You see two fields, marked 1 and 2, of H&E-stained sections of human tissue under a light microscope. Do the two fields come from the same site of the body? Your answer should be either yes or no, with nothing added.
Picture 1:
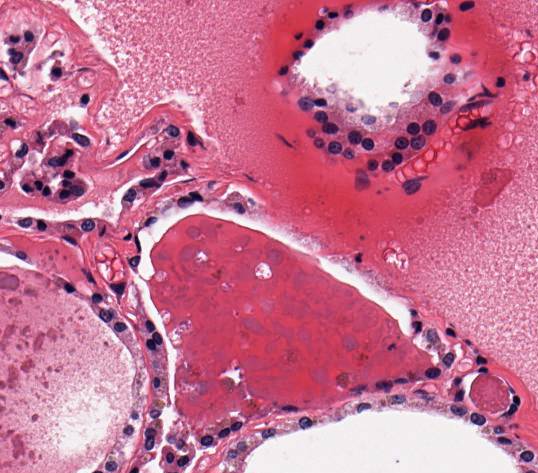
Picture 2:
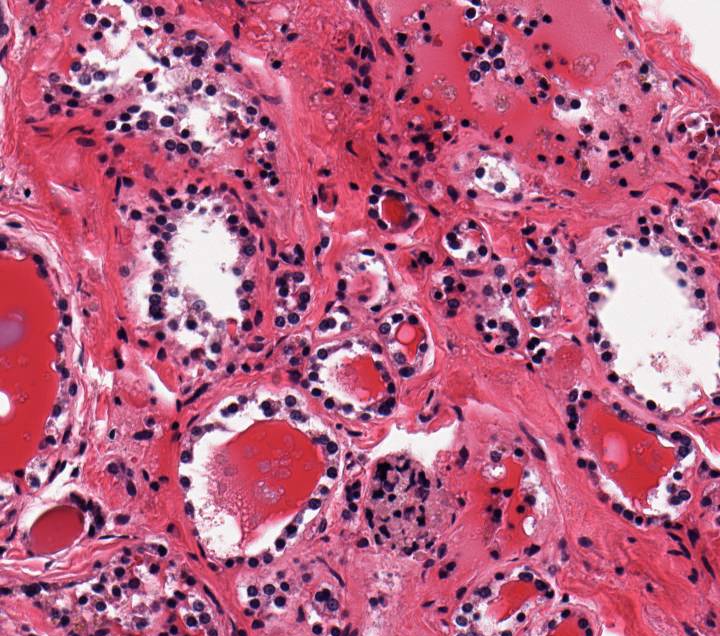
yes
